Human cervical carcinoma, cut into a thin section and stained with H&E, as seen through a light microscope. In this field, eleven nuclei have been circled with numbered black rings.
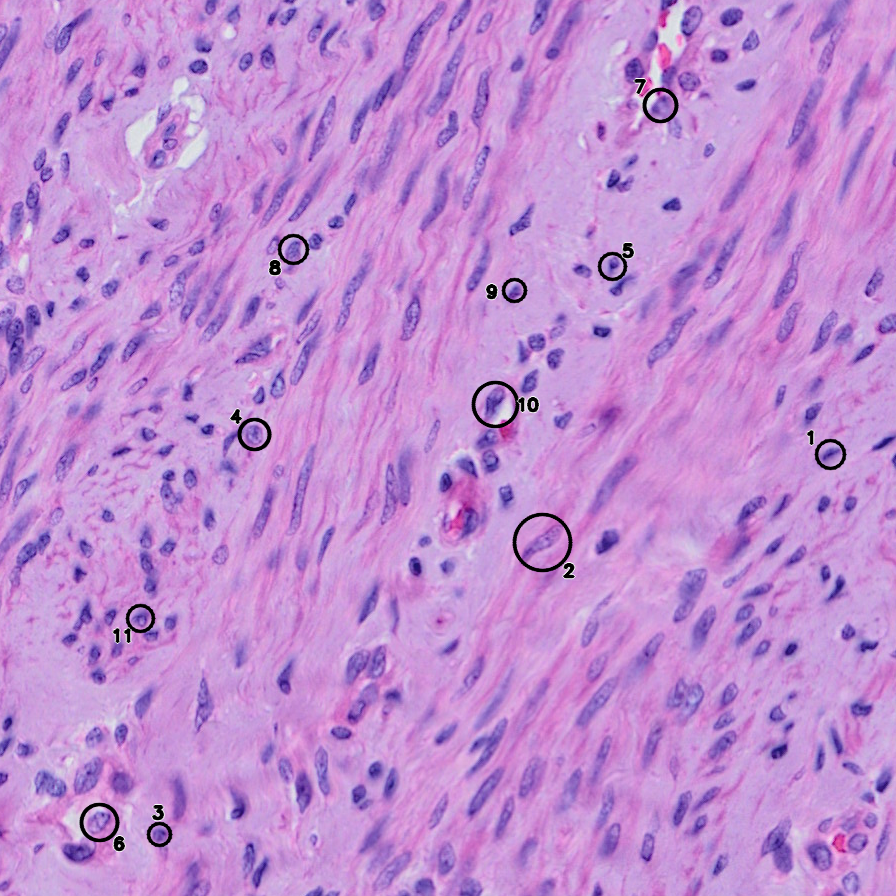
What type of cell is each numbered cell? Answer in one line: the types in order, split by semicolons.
fibroblast; smooth muscle cell; smooth muscle cell; smooth muscle cell; fibroblast; endothelial cell; endothelial cell; smooth muscle cell; fibroblast; endothelial cell; smooth muscle cell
